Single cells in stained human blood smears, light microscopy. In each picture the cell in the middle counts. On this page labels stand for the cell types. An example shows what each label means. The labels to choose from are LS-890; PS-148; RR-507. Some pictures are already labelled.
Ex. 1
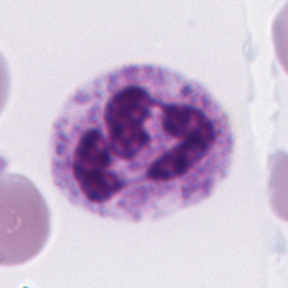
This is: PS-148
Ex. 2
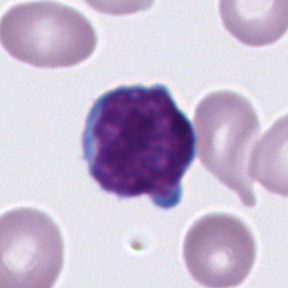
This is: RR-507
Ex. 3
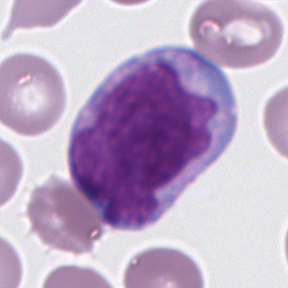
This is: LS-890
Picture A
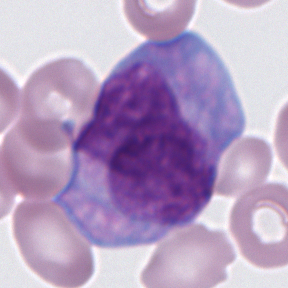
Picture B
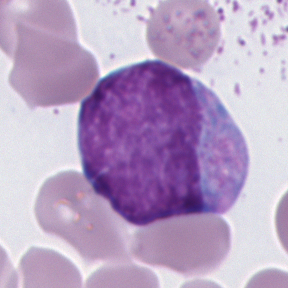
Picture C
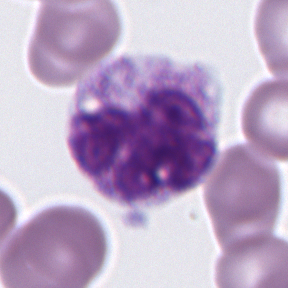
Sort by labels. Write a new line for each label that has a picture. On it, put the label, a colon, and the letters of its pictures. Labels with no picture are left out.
LS-890: A, B
PS-148: C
